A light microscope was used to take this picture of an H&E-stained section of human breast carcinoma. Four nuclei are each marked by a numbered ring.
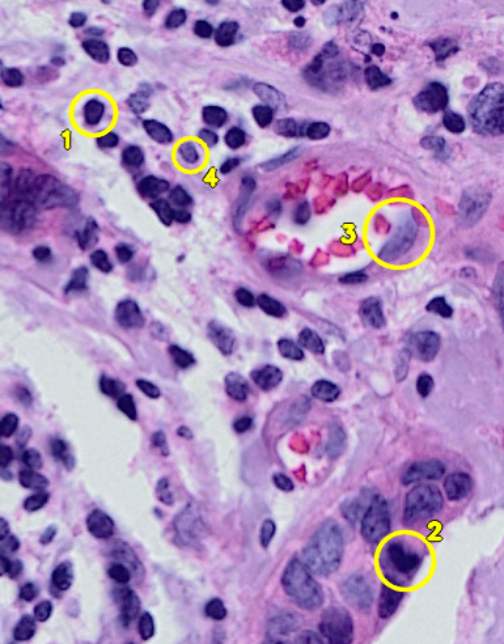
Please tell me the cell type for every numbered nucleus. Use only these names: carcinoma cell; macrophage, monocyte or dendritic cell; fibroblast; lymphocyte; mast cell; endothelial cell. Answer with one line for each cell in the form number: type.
1: lymphocyte
2: carcinoma cell
3: endothelial cell
4: lymphocyte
